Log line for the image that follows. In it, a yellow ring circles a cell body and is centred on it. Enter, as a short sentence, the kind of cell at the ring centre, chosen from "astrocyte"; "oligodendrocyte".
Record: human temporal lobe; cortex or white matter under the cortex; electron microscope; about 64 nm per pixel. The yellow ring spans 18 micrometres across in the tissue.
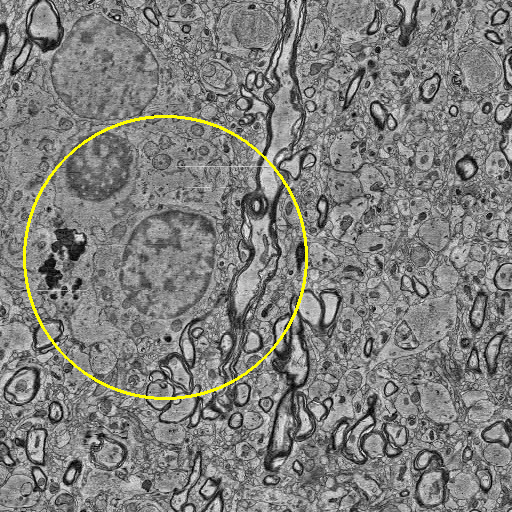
The ring centre is occupied by an oligodendrocyte.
